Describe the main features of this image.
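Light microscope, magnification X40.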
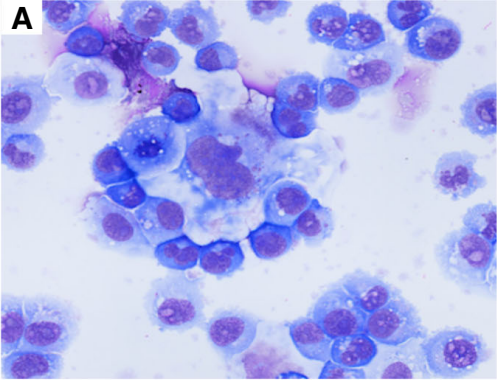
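Many cells lie singly, others in small clusters pressed against one another. In the centre a much larger cell carries a big irregular purple nucleus with coarse, clumped chromatin, ringed by smaller cells. The cytoplasm of several cells contains small clear vacuoles, and pink-violet amorphous material lies between some cells. Cell and nuclear size vary markedly across the field.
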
